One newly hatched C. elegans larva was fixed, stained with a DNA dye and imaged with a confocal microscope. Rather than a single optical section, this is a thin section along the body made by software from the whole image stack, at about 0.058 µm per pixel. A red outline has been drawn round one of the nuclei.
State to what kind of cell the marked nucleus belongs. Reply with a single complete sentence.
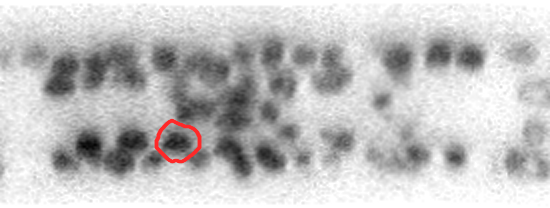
What is marked is the nucleus of a neuron.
